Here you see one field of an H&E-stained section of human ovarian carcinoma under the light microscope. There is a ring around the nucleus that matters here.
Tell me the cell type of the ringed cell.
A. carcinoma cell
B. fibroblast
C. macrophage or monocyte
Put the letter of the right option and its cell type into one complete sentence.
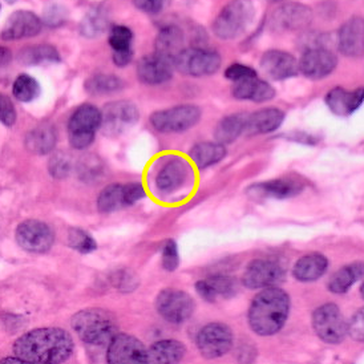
Option A is the right one; the ringed cell is a carcinoma cell.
